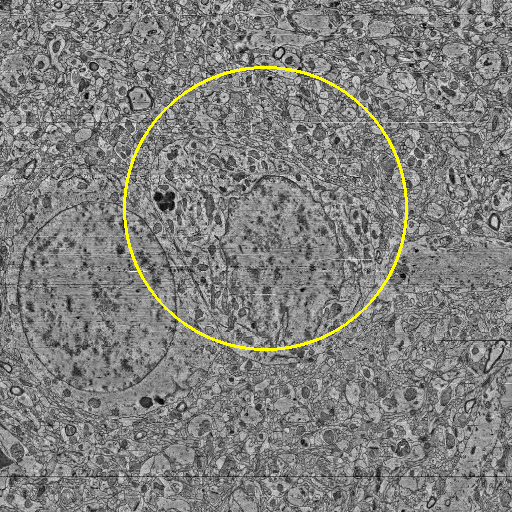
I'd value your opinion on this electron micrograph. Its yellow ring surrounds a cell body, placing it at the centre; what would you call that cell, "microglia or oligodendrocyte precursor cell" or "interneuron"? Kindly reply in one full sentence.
It is an interneuron that sits centred within the yellow ring in this micrograph.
